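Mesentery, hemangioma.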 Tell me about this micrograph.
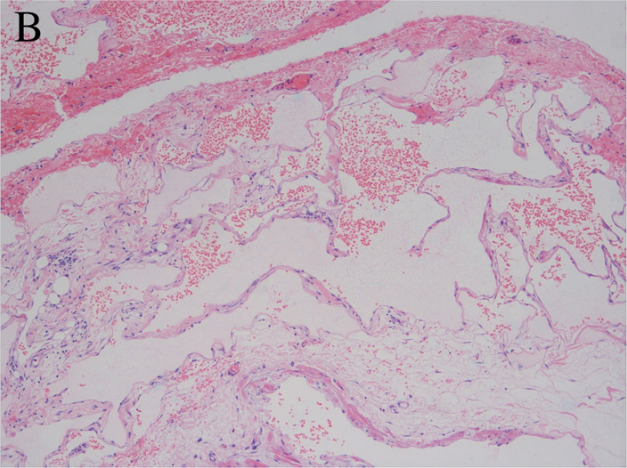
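This section shows many dilated, irregular vascular spaces separated by thin fibrous septa. Most of the spaces are lined by a thin wall and contain clusters of red blood cells or pale pink fluid. The septa are made of loose pale connective tissue with scattered small dark nuclei. A few small fat cells appear at the left edge. Along the top runs a thicker pink band of dense tissue with congested blood.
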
